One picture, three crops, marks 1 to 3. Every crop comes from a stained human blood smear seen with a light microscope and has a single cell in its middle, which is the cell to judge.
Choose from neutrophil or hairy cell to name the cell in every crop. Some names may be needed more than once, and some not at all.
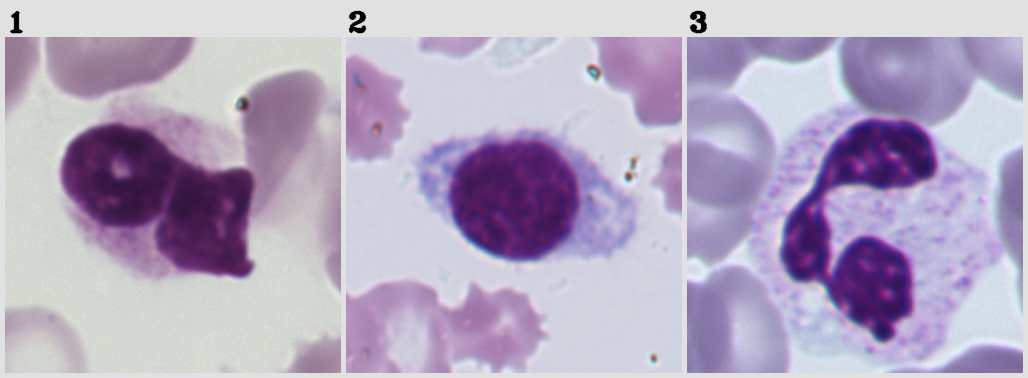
1: neutrophil
2: hairy cell
3: neutrophil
